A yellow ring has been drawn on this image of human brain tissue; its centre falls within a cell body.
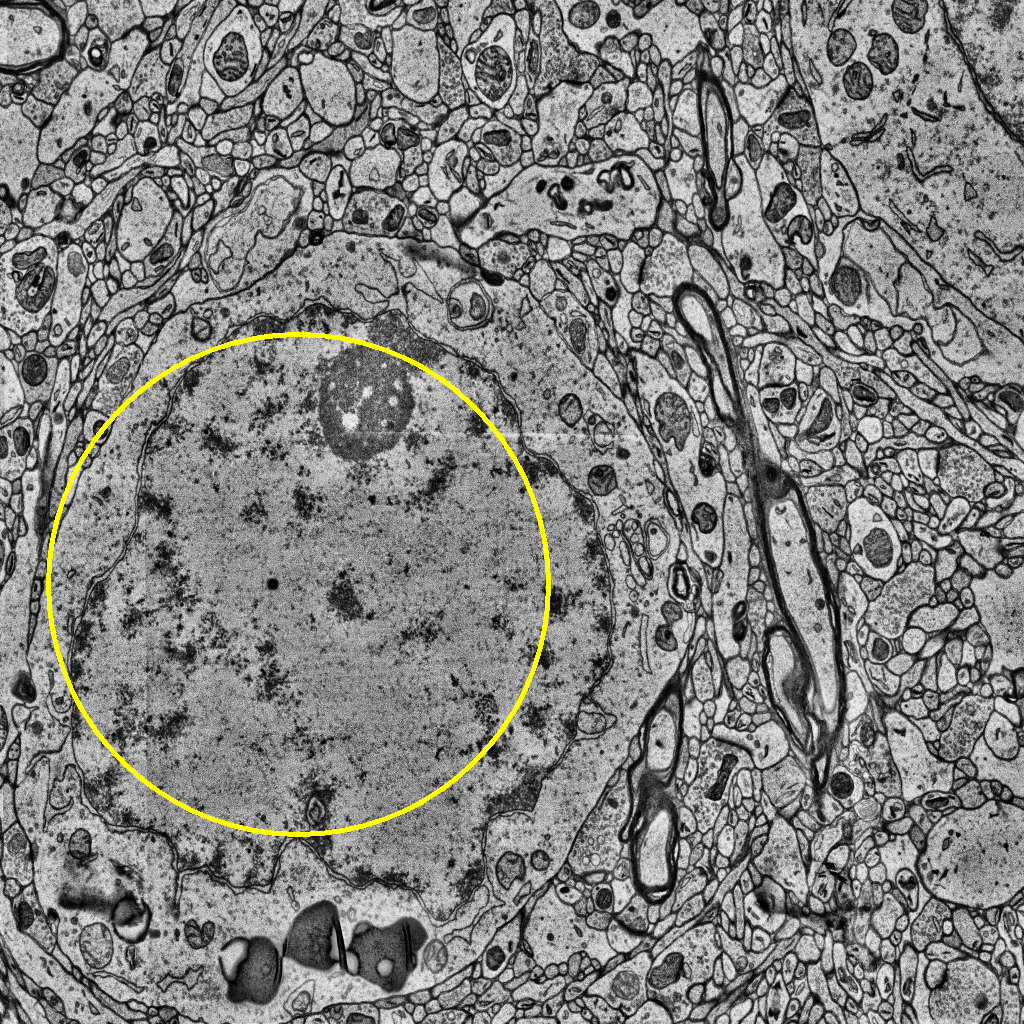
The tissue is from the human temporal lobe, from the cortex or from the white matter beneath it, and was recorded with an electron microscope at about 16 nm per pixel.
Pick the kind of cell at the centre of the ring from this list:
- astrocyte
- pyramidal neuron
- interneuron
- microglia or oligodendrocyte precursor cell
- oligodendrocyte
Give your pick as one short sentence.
The centre of the ring holds an interneuron.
